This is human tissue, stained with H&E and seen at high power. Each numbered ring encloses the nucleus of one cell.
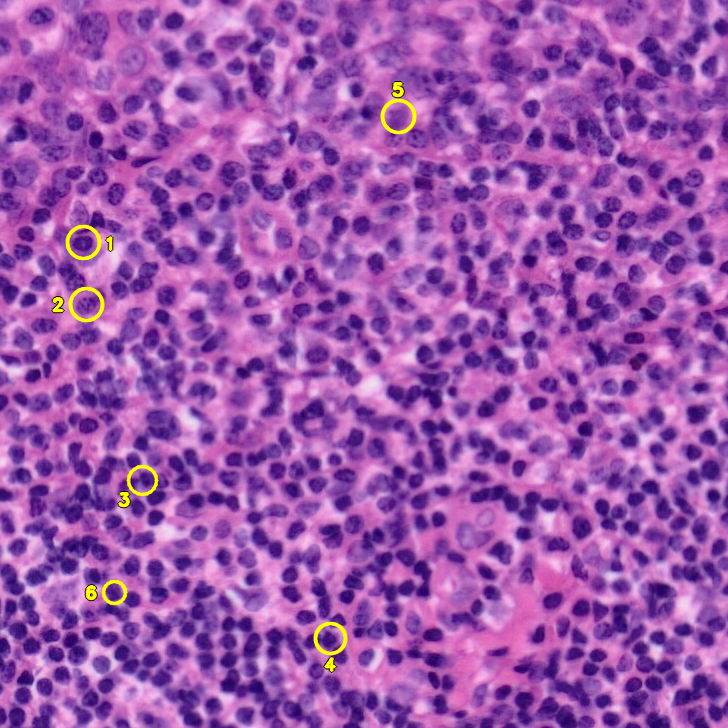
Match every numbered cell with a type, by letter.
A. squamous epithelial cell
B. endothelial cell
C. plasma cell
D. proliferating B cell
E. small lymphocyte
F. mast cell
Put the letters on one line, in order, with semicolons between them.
C; C; E; E; A; E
